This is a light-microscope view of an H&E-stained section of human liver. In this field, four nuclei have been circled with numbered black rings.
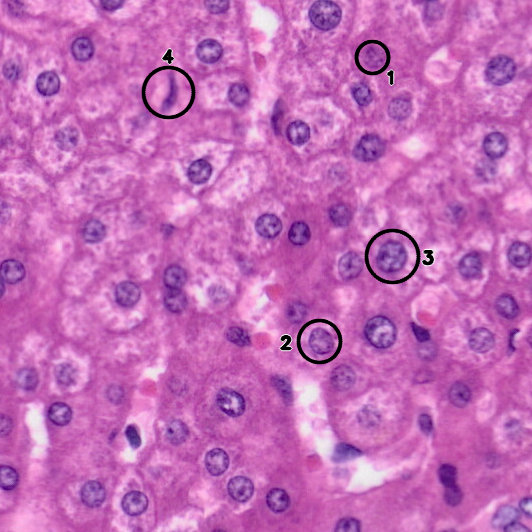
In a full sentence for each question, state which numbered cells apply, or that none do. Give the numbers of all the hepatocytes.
Cells 1, 2 and 3 in the section are typed as hepatocytes.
